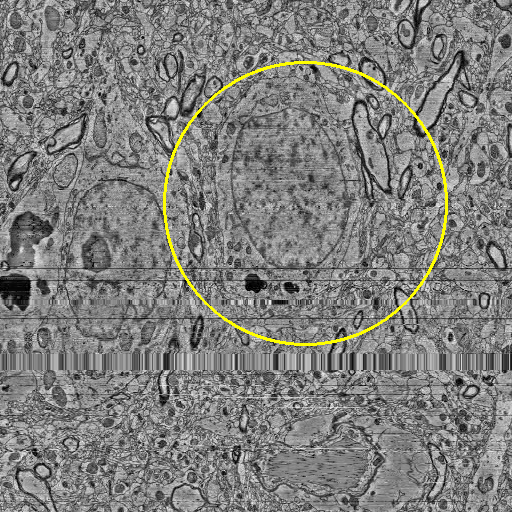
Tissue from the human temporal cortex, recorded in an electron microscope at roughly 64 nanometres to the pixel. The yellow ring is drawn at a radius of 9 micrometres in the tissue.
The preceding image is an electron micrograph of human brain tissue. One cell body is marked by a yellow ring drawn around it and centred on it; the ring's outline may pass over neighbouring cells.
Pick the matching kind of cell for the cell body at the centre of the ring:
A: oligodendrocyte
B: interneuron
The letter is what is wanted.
B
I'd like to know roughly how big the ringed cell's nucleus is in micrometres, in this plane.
Approximately 11 x 8 micrometres in this plane.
